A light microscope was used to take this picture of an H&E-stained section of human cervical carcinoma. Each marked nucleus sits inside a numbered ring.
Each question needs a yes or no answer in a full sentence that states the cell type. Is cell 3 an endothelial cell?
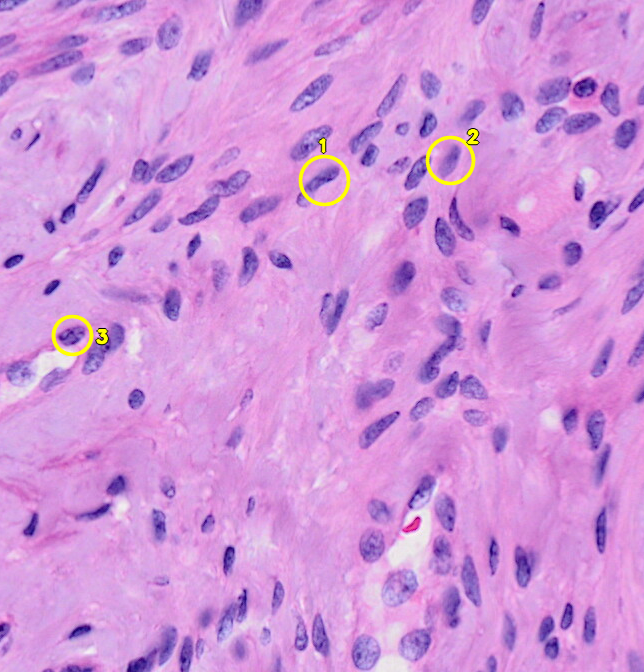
Yes, in this tissue section, number 3 is an endothelial cell.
